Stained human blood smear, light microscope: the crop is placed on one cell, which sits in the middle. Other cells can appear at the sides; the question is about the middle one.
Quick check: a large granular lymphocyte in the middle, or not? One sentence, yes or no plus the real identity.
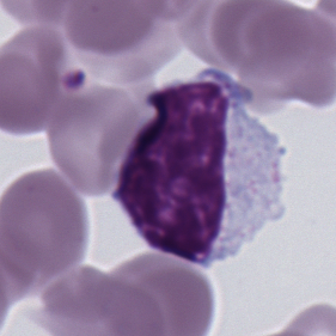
Yes, the central cell is to be recorded as a large granular lymphocyte.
